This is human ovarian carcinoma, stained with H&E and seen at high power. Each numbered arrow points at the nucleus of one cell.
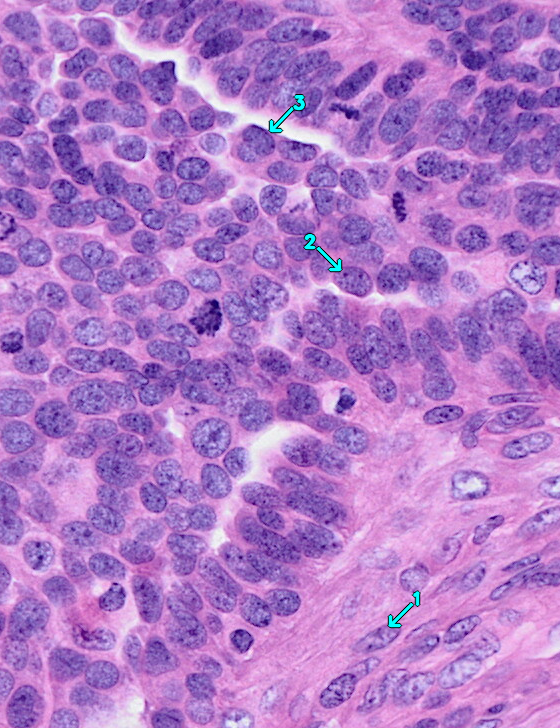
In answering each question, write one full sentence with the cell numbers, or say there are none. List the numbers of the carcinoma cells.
The numbers 2 and 3 mark cells that are carcinoma cells.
